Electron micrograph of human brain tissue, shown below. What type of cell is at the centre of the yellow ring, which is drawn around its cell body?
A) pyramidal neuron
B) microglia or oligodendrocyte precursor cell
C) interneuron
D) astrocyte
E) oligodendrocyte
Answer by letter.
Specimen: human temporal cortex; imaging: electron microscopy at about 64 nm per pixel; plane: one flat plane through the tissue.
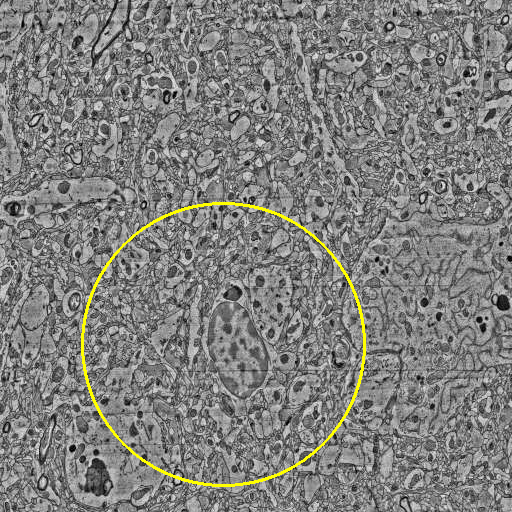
B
